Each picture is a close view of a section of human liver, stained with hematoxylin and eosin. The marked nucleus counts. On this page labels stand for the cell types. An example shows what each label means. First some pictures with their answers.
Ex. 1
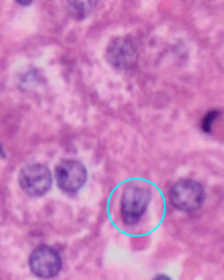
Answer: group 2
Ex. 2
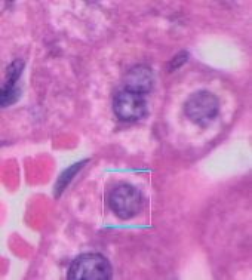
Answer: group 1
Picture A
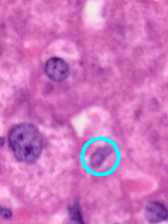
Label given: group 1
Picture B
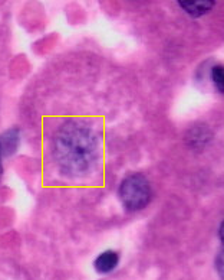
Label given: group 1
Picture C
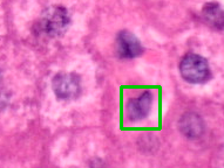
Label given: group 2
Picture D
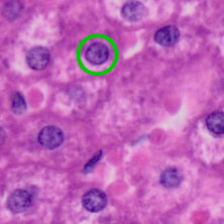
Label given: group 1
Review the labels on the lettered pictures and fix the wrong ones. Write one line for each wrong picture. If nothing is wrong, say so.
A should be group 2, not group 1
